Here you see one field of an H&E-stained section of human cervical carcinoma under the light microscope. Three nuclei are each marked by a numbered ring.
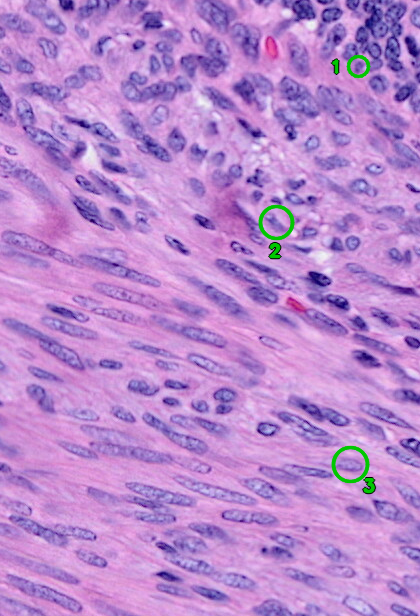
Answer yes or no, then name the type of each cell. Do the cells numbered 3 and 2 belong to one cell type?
Yes, in terms of cell type, cells 3 and 2 are both smooth muscle cells.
